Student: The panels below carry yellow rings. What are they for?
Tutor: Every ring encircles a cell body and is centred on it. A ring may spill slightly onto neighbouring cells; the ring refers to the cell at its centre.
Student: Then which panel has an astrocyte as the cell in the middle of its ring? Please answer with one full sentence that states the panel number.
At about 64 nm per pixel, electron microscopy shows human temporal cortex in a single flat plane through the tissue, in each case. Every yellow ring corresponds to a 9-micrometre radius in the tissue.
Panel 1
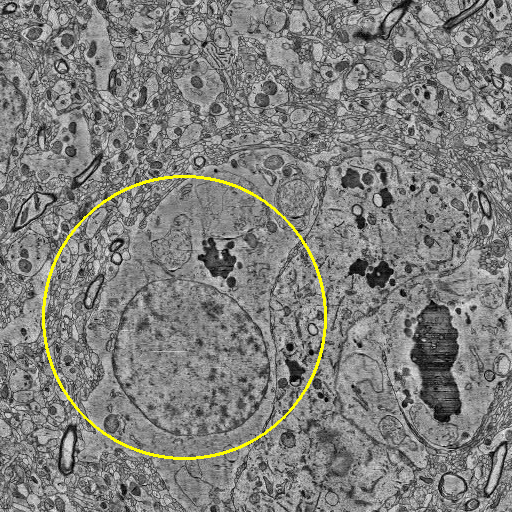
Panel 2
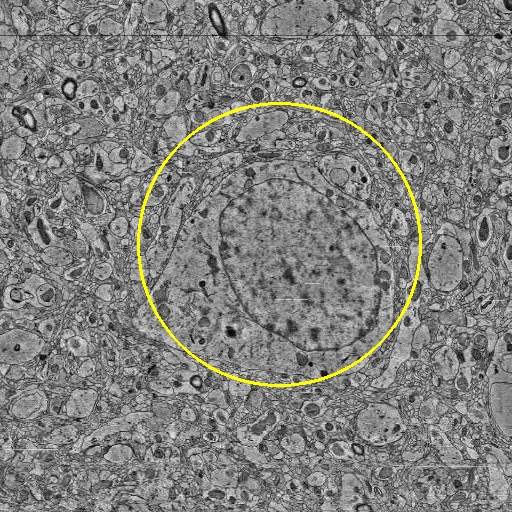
In Panel 1, the cell centred in the ring is the one sought.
